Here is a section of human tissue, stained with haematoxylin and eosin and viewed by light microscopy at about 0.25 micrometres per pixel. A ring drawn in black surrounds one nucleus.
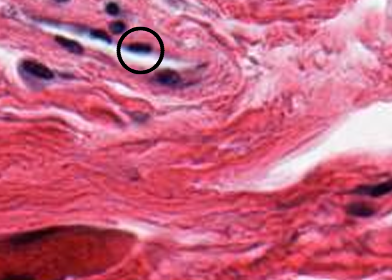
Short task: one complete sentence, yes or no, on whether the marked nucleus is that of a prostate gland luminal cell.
No, what the marked nucleus belongs to is a supporting cell, not a prostate gland luminal cell.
